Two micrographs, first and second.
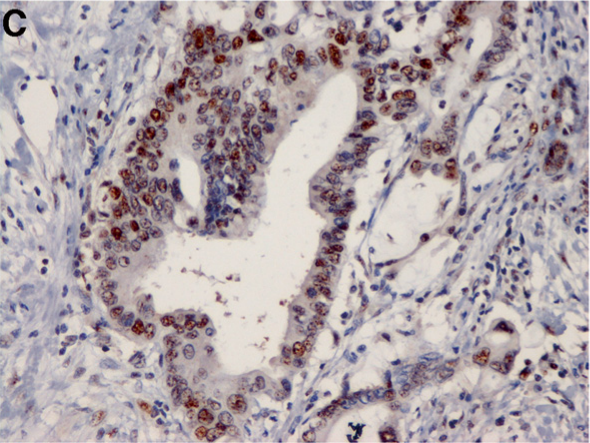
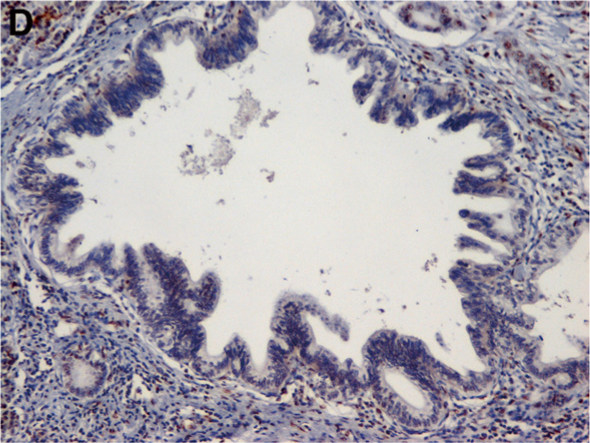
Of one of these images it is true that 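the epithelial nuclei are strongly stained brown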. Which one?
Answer: The first image.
